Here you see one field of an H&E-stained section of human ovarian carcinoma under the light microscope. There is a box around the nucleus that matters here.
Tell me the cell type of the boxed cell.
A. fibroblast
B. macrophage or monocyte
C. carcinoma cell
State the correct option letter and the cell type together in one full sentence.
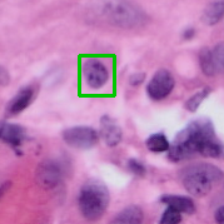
Option B properly identifies the boxed cell as a macrophage or monocyte.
